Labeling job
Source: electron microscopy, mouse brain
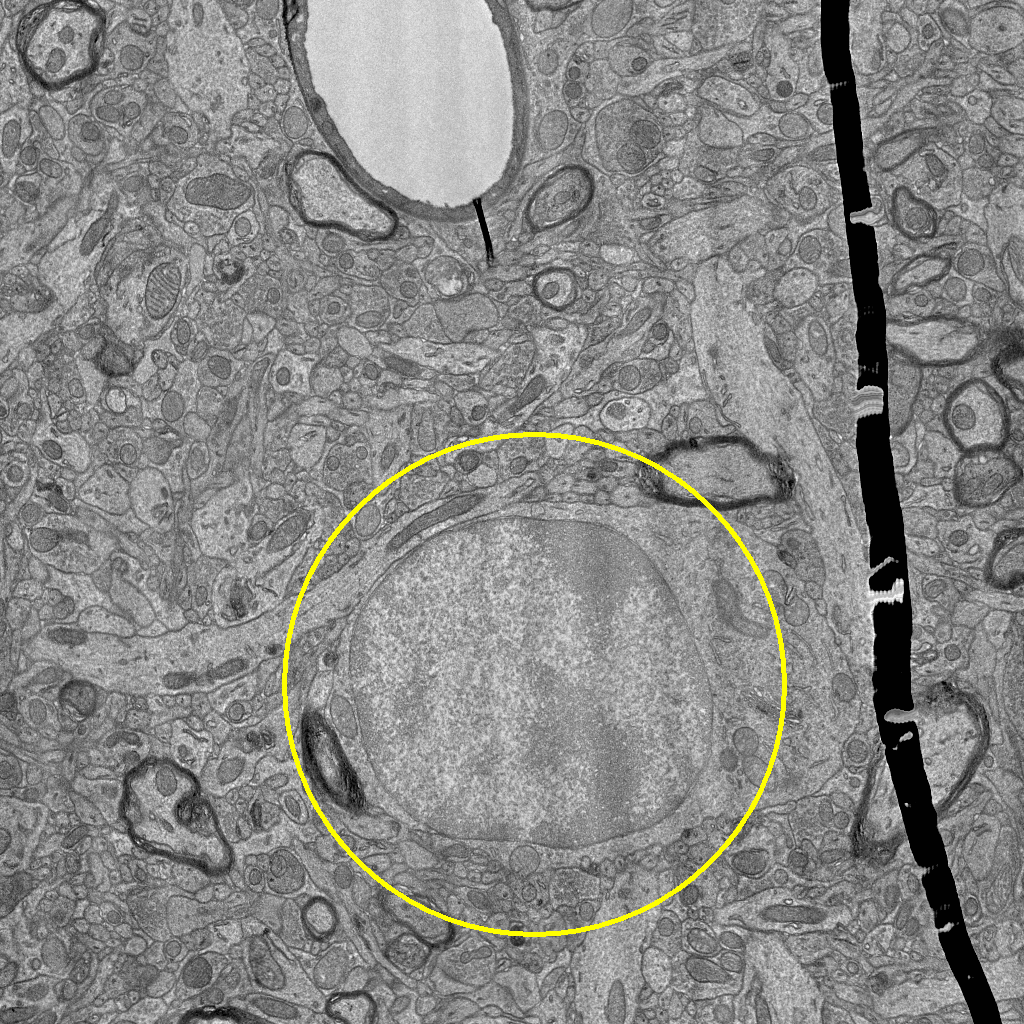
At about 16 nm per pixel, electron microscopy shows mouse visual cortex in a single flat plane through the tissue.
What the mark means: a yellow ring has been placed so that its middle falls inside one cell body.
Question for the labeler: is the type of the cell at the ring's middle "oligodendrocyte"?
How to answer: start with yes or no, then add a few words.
Yes, that is its type.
